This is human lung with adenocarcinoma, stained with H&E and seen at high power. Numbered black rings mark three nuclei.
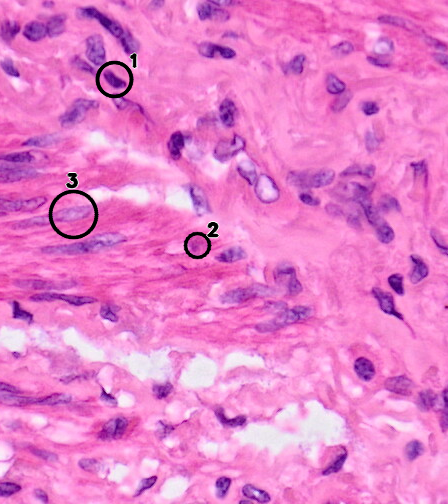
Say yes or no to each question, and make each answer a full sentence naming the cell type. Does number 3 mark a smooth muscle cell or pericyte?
Yes, number 3 is assigned to a cell that is a smooth muscle cell or pericyte.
